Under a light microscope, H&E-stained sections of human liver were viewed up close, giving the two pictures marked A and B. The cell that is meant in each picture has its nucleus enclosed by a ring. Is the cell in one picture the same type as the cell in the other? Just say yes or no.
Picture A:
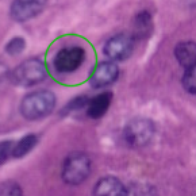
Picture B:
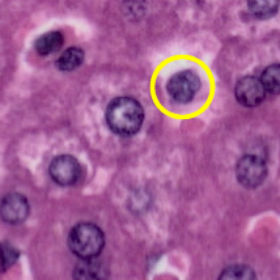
no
